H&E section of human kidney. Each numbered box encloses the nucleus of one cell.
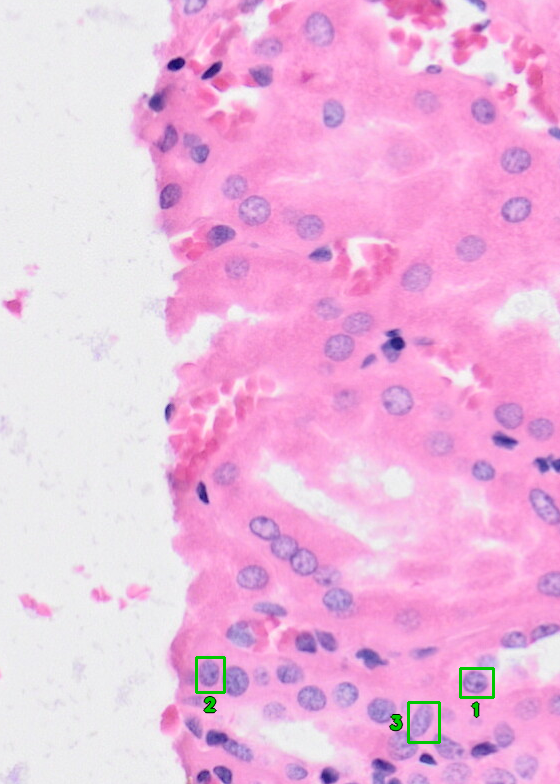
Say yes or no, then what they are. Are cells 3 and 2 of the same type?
Yes, sure, cells 3 and 2 are both collecting duct cells.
